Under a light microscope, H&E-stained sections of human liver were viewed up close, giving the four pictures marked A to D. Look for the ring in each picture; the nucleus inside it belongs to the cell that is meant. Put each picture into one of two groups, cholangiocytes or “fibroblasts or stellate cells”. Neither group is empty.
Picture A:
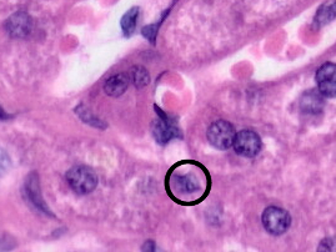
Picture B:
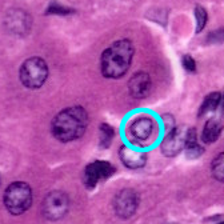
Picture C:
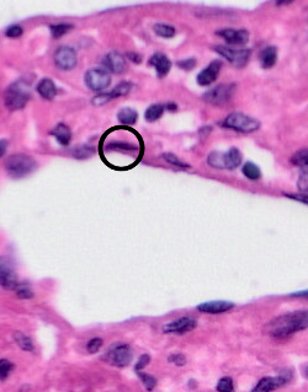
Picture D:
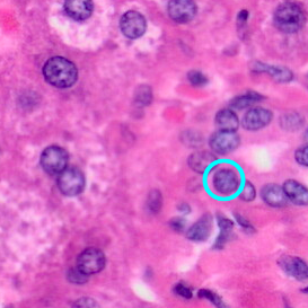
A: fibroblast or stellate cell
B: cholangiocyte
C: fibroblast or stellate cell
D: cholangiocyte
